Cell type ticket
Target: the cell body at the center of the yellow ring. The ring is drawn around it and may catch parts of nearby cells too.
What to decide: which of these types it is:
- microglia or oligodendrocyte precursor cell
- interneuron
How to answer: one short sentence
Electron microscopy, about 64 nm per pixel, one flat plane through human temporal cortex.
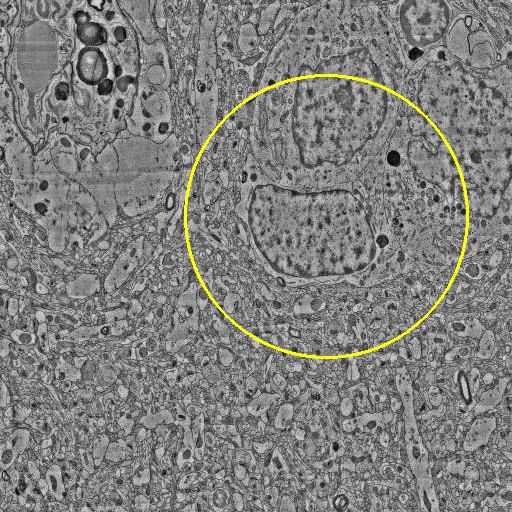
The cell at the center of the ring is a microglial cell or oligodendrocyte precursor cell.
